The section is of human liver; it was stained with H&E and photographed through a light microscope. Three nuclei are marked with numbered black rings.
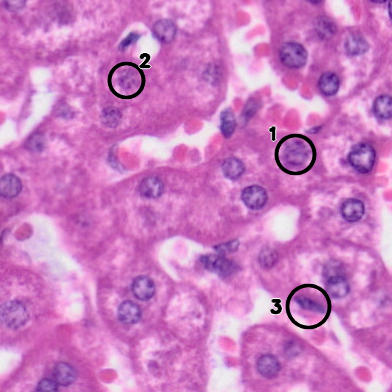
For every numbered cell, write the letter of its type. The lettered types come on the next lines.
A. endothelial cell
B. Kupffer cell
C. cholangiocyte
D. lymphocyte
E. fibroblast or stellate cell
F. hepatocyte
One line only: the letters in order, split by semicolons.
F; F; A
